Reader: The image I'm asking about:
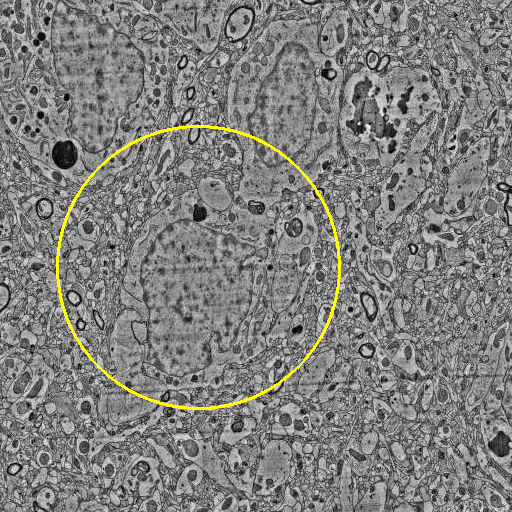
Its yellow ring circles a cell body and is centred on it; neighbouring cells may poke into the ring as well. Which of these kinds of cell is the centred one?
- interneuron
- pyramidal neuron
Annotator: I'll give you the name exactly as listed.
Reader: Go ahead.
interneuron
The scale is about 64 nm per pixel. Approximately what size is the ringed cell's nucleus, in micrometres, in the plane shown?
In this plane the nucleus measures roughly 10 by 7 micrometers.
